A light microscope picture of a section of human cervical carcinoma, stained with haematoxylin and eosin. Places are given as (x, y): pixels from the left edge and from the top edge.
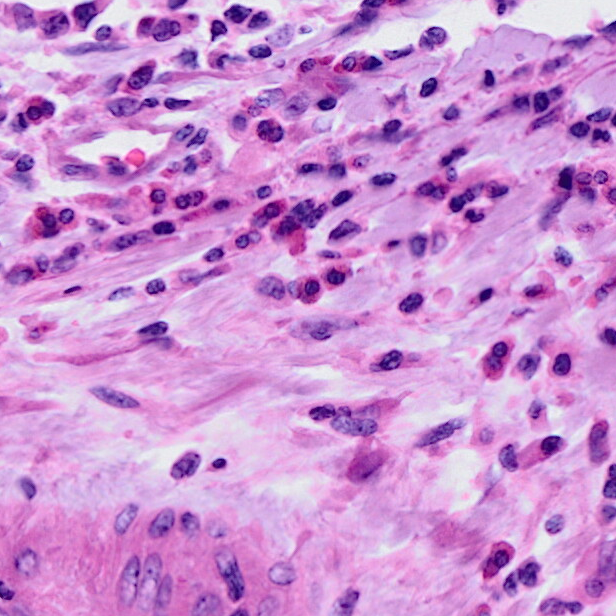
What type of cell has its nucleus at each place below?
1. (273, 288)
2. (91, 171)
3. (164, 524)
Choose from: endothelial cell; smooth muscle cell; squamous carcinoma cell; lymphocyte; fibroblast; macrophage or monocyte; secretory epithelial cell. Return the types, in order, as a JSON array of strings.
["macrophage or monocyte", "endothelial cell", "smooth muscle cell"]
